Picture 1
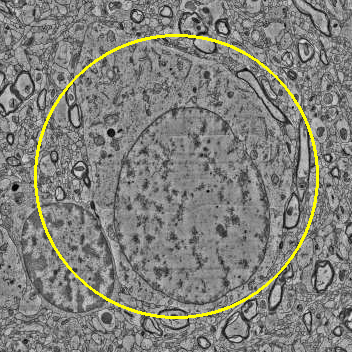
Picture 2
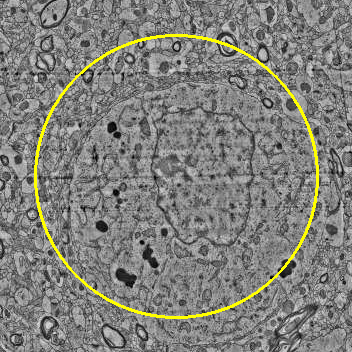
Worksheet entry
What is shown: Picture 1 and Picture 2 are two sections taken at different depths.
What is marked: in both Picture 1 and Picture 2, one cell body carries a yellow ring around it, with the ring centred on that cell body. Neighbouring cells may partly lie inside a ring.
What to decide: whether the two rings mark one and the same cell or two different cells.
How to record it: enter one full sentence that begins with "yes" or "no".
No, the rings do not mark the same cell.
